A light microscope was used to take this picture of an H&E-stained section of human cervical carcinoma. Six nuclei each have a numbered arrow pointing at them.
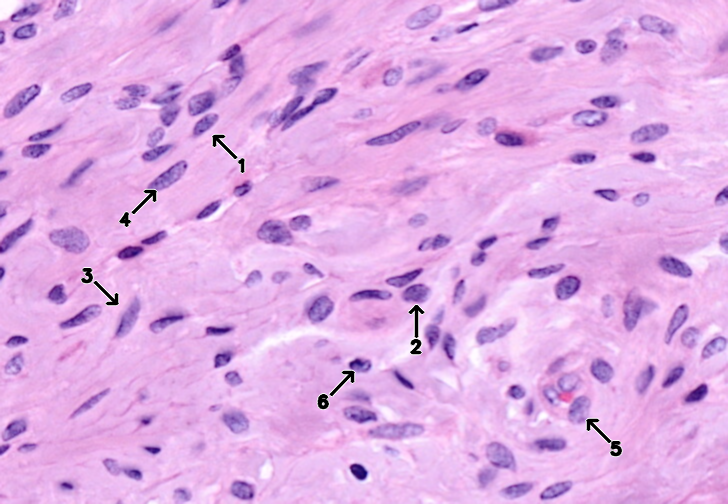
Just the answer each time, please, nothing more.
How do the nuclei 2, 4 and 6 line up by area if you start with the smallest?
6, 2, 4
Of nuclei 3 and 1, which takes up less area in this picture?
1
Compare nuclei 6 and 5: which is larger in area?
5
